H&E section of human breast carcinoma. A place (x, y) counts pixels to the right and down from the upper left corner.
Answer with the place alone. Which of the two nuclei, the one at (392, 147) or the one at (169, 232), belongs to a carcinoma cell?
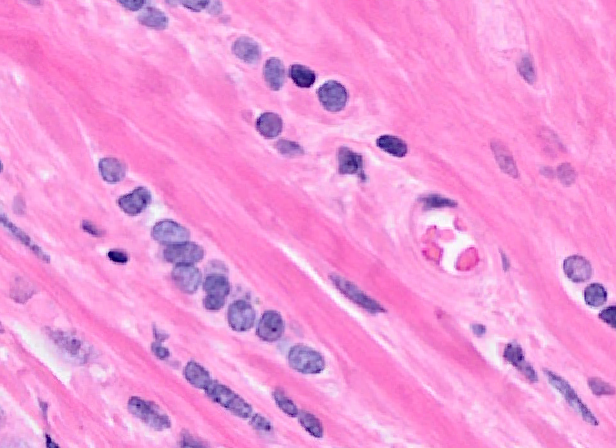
(169, 232)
